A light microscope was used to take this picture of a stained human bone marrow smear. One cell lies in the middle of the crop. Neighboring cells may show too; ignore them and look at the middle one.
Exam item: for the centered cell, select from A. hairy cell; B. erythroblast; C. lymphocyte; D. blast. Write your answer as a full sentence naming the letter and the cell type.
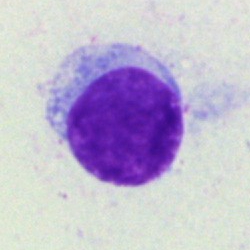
Seen at the centre of the crop is a hairy cell, so option A is correct.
